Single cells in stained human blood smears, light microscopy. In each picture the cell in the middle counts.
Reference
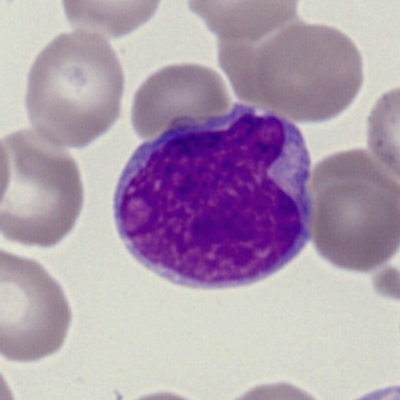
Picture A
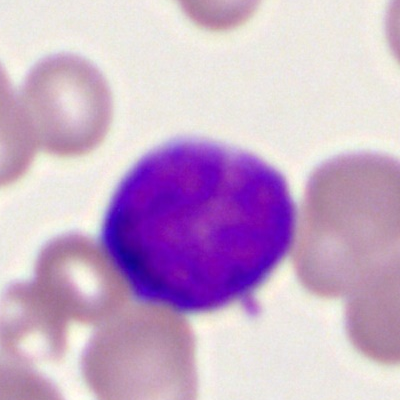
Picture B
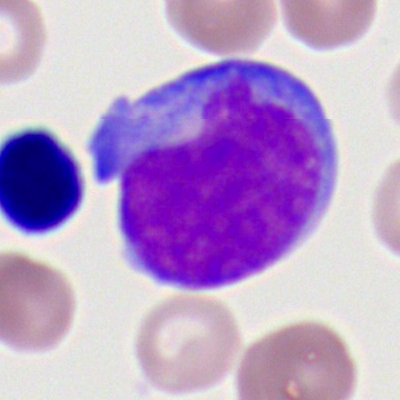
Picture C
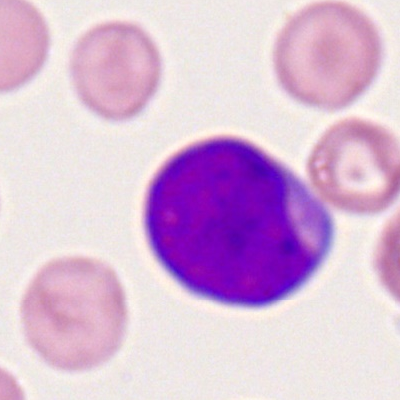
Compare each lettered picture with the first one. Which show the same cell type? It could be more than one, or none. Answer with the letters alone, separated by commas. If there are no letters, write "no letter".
A, B, C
